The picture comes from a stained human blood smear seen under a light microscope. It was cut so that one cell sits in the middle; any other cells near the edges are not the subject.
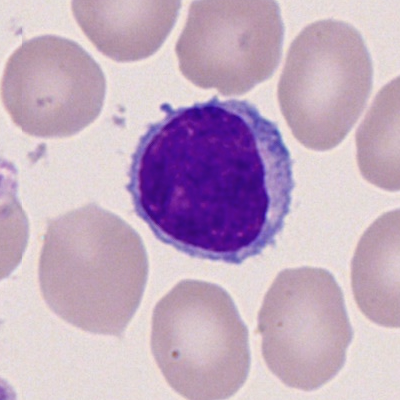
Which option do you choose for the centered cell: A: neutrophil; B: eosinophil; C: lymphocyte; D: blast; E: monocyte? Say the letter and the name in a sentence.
That middle cell is a lymphocyte, and option C is therefore correct.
